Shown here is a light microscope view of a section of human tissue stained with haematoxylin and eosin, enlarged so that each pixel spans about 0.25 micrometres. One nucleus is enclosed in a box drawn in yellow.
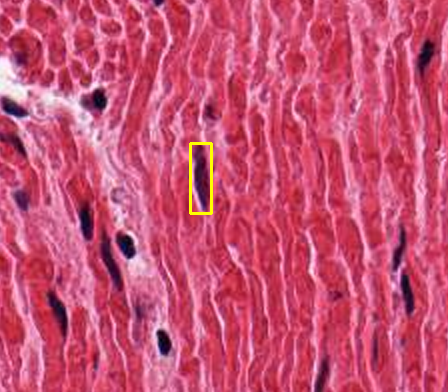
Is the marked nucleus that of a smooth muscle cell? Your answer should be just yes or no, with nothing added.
yes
